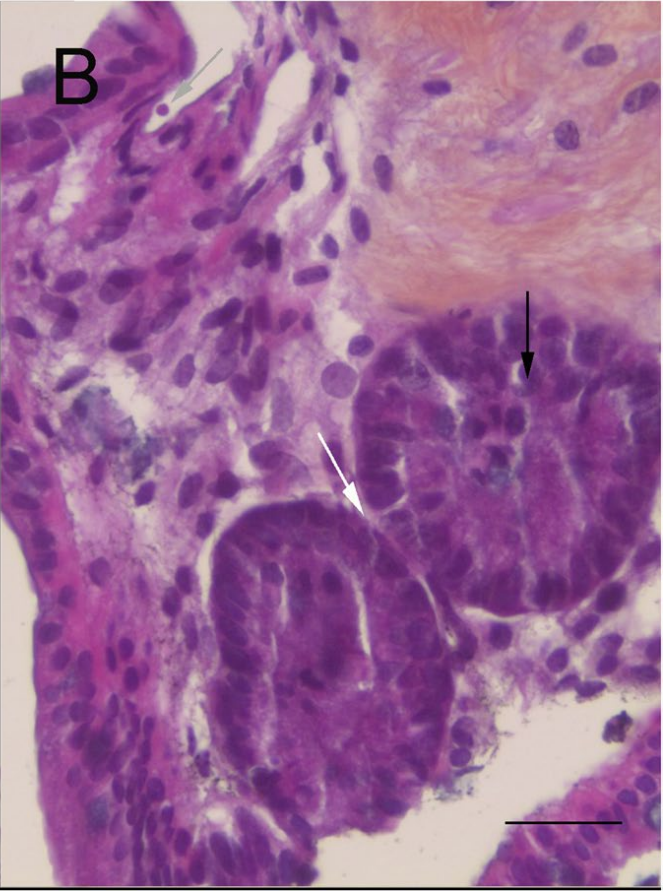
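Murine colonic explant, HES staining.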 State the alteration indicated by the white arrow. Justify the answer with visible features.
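Two glands lie almost touching each other. Only a thin strip of tissue separates them. The answer: reduction of the interglandular space.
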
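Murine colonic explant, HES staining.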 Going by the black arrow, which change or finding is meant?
Loss of nuclear polarity with slight pseudostratification.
